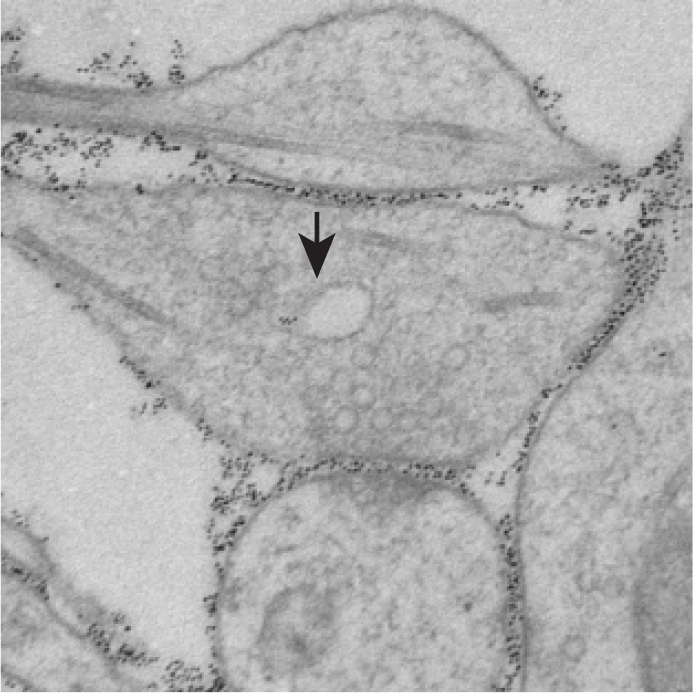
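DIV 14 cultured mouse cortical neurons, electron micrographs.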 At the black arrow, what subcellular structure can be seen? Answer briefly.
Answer: putative endosome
